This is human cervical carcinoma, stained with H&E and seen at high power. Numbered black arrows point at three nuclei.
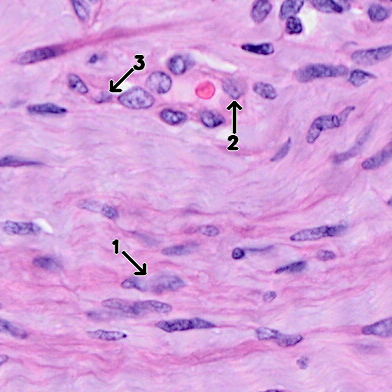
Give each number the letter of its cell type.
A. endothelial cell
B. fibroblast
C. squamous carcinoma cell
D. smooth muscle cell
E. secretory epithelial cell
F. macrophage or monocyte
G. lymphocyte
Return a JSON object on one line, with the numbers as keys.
{"1": "D", "2": "A", "3": "A"}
